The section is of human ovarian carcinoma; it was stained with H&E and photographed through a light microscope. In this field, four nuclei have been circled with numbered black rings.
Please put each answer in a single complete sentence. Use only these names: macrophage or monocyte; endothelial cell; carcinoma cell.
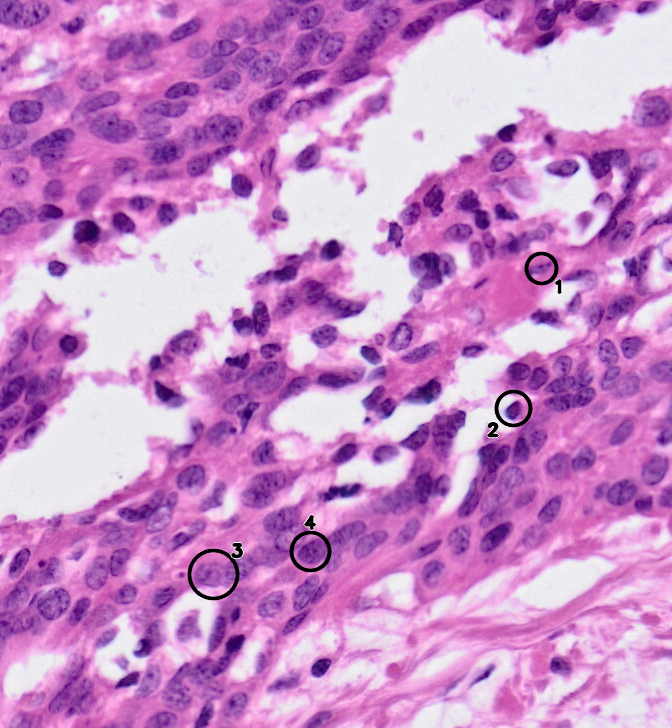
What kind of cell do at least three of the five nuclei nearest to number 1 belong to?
Most of the five nuclei nearest to number 1 are those of macrophages or monocytes.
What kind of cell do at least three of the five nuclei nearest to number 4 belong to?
Of the five nuclei nearest to number 4, most belong to carcinoma cells.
